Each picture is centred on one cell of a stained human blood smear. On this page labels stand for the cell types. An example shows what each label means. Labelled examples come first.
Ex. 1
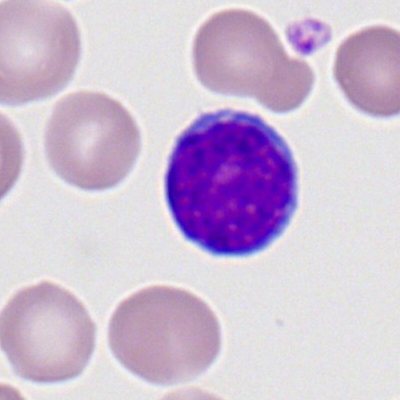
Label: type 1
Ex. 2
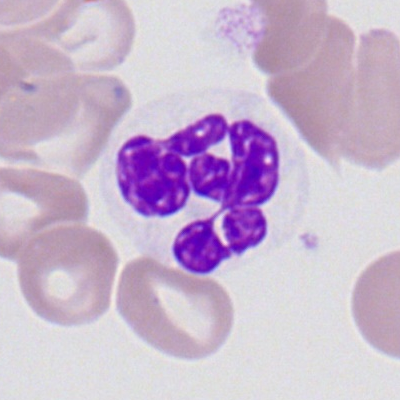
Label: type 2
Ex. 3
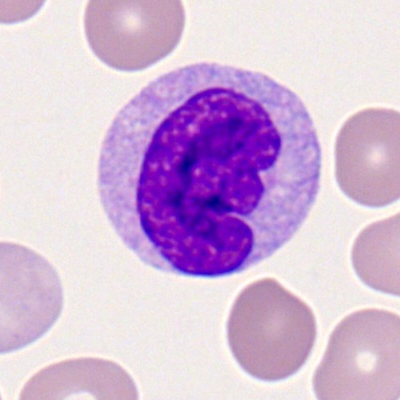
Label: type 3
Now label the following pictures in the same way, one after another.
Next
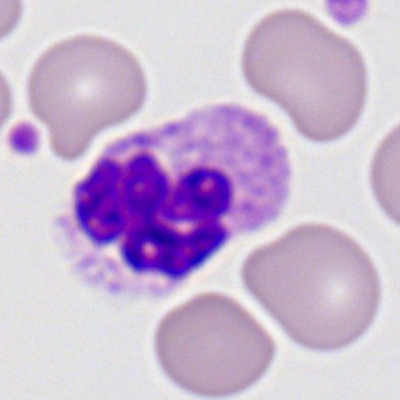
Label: type 2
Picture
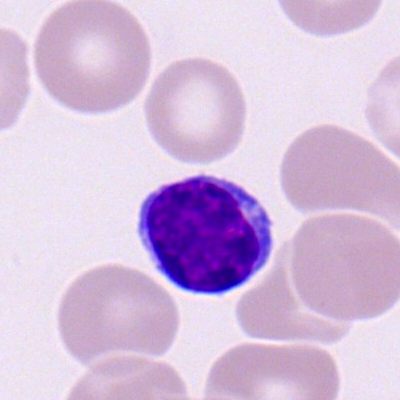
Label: type 1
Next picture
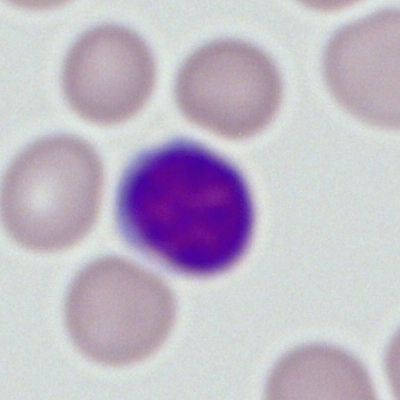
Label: type 1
